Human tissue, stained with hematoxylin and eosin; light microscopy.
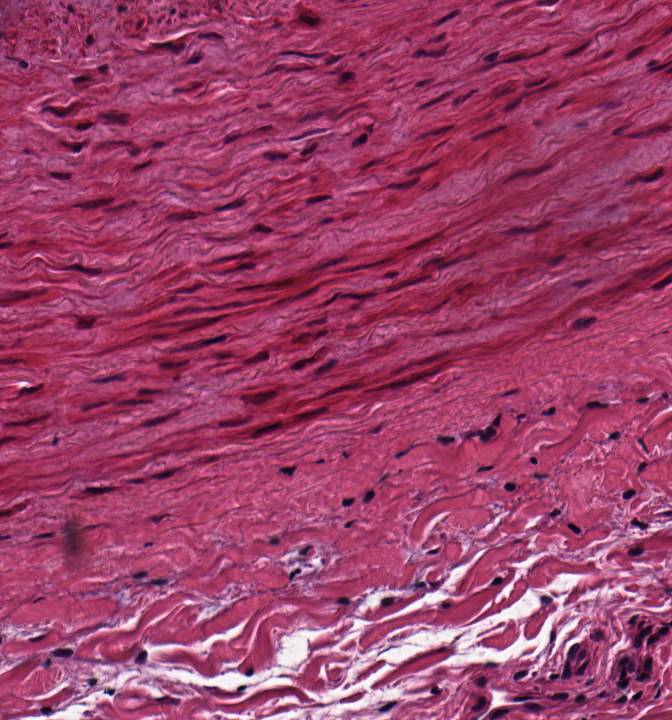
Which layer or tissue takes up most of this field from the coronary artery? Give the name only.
tunica media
